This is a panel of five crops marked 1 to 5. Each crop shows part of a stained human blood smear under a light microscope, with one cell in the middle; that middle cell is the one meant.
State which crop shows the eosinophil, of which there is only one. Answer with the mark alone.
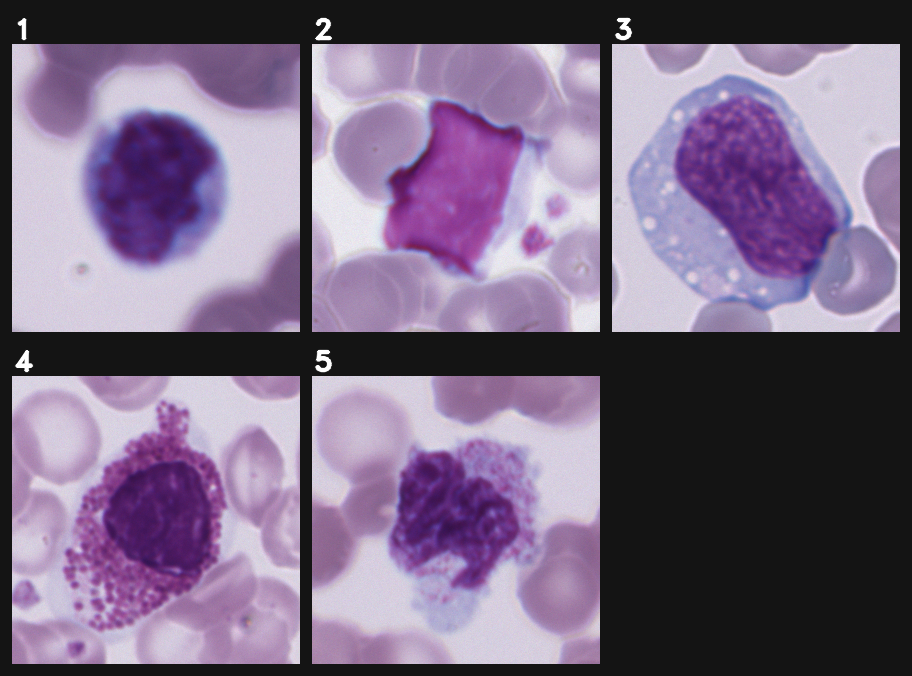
4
